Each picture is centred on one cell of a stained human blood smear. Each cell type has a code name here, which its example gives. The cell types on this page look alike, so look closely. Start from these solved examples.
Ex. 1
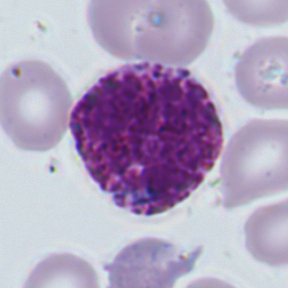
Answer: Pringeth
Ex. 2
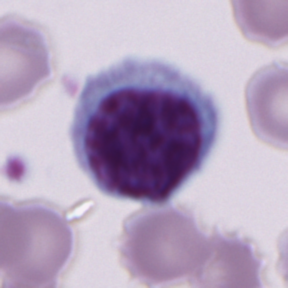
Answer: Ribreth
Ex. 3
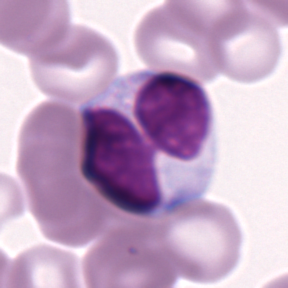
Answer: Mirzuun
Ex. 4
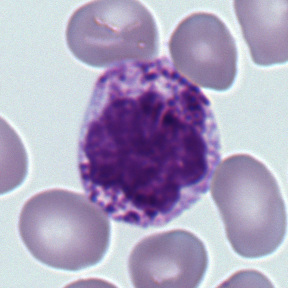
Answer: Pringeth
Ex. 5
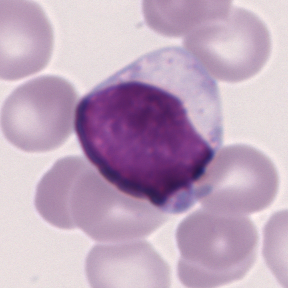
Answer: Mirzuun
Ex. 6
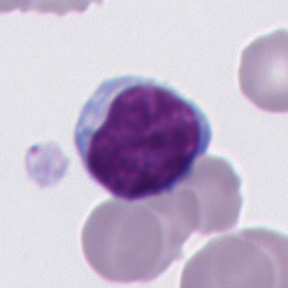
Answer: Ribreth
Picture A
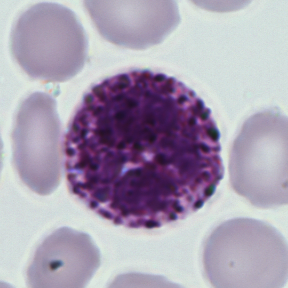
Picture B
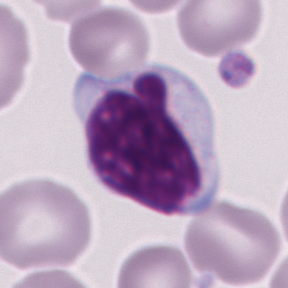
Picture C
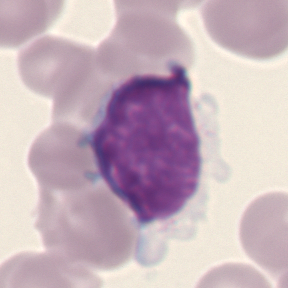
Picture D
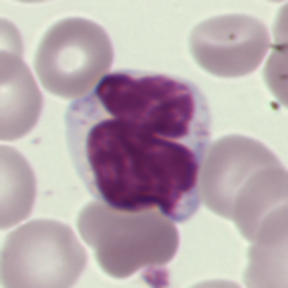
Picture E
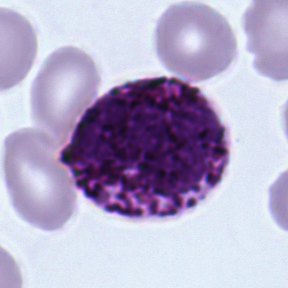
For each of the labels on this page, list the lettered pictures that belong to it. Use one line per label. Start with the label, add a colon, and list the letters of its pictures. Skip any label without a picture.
Pringeth: A, E
Mirzuun: B, C, D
